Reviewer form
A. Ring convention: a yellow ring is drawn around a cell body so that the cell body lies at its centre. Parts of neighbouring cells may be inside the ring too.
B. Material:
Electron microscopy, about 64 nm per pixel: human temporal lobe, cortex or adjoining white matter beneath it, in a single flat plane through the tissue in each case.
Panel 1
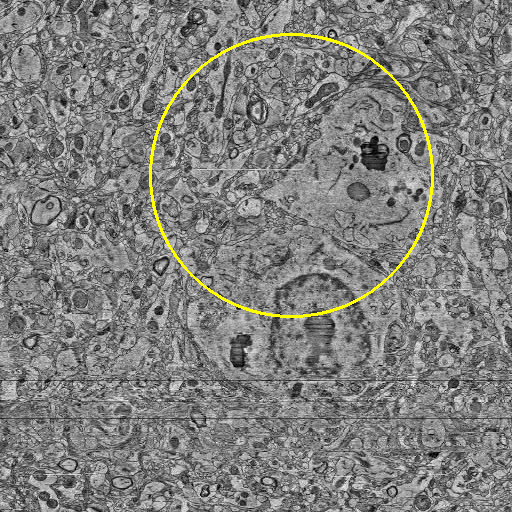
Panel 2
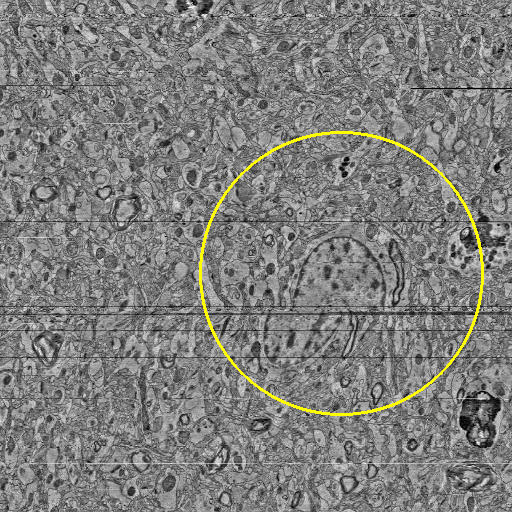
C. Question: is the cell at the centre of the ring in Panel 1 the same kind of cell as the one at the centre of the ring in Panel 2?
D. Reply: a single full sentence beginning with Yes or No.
Yes, the cells in Panel 1 and Panel 2 are the same kind of cell.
